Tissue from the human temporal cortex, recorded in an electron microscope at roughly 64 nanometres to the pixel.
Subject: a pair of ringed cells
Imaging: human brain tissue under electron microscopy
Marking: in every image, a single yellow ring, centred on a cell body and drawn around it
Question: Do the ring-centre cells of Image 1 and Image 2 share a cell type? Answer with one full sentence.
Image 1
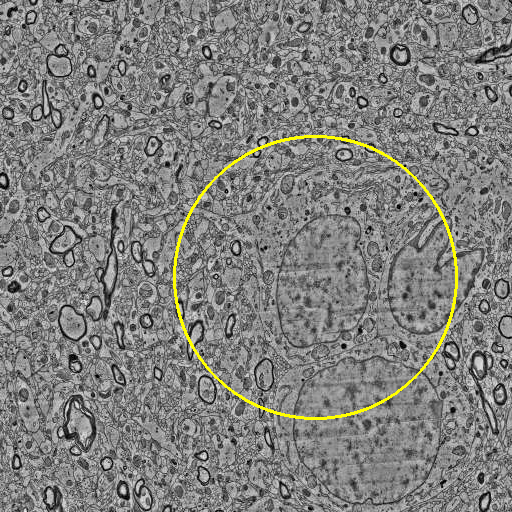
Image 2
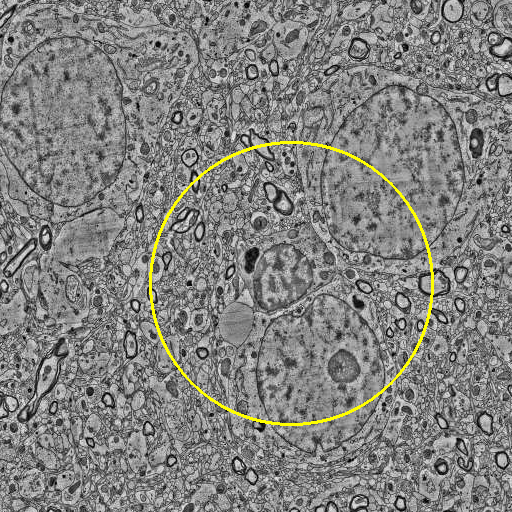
No, at the ring centres in the images sit cells of two separate types.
